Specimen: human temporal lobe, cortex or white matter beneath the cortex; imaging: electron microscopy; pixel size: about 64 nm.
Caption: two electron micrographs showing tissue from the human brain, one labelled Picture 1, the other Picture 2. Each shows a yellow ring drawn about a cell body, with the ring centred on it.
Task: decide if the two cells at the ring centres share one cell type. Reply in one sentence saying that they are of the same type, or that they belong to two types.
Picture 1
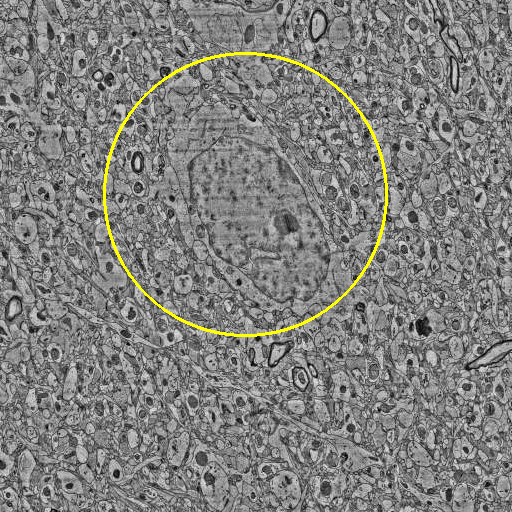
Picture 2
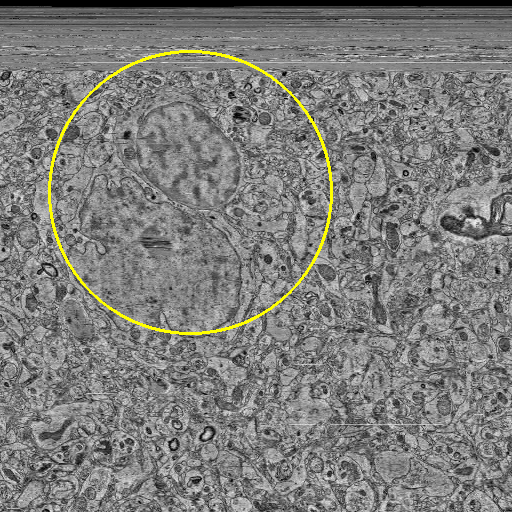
The cells at the ring centres in Picture 1 and Picture 2 belong to two types.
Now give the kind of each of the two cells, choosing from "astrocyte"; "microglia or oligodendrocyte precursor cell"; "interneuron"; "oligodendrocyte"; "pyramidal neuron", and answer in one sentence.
The cell in the first picture is an interneuron, and the cell in the second is an oligodendrocyte.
